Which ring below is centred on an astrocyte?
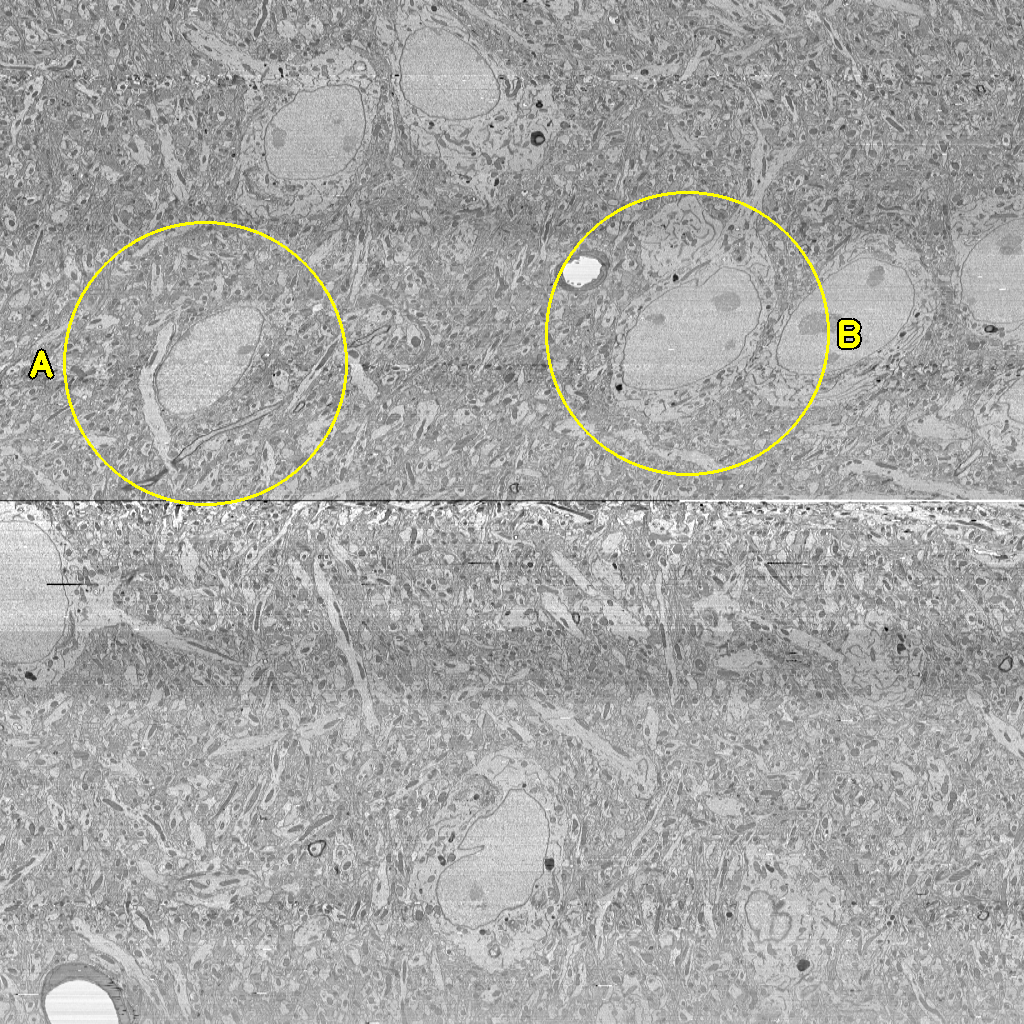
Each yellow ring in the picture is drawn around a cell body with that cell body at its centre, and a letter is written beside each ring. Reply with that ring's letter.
A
